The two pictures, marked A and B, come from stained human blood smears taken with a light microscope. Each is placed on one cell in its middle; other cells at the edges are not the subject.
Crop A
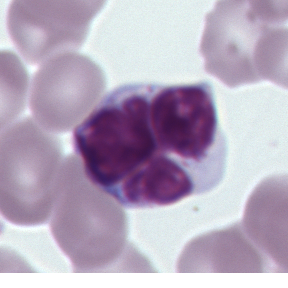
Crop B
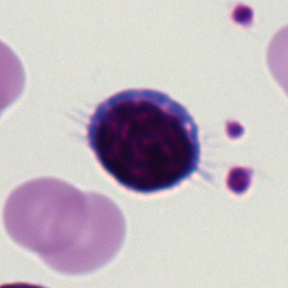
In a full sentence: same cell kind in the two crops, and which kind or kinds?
Yes, both crops feature large granular lymphocytes at the centre.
